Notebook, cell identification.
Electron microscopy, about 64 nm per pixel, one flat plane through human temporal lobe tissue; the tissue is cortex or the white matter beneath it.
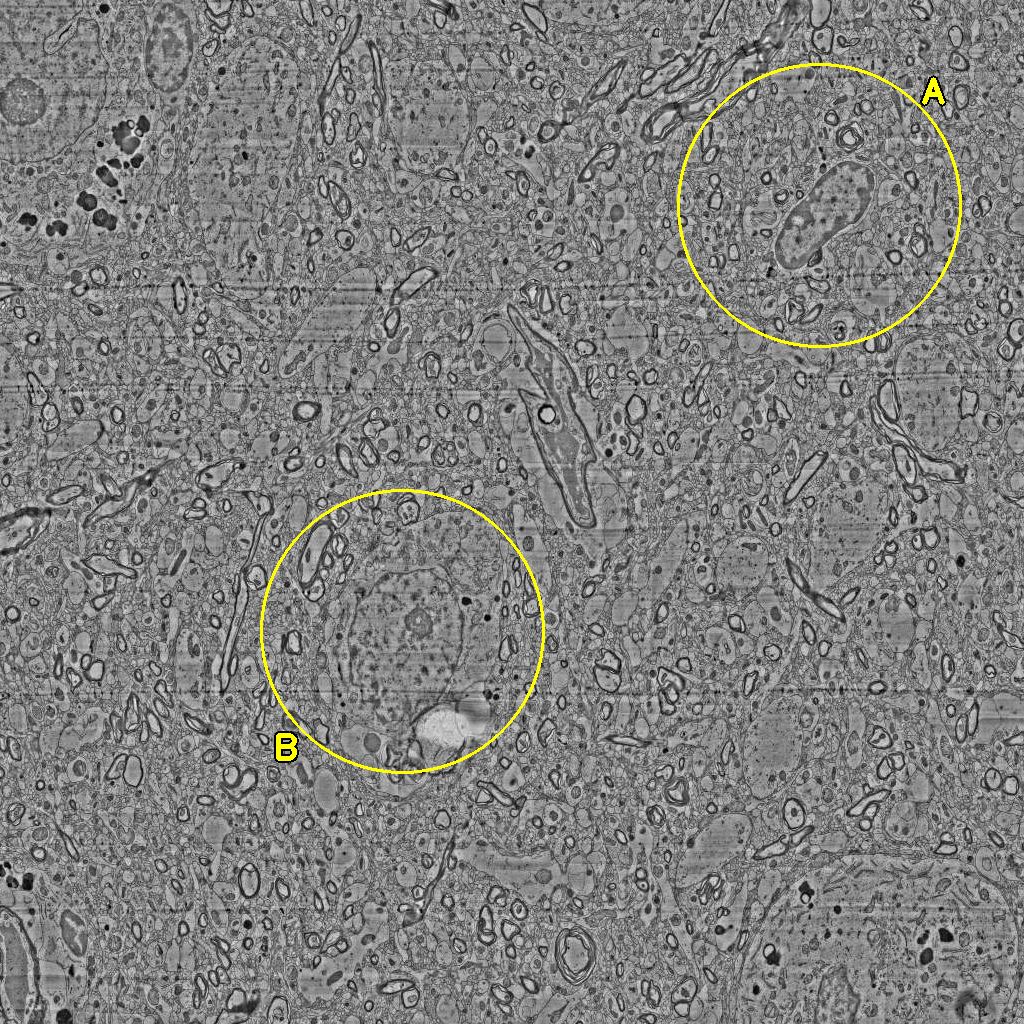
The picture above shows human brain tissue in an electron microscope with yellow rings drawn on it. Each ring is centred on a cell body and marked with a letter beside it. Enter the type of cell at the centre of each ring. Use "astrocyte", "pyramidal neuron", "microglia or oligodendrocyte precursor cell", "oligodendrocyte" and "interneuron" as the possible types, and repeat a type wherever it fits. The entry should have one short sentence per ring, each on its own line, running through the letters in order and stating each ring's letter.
The cell body in ring A belongs to a microglial cell or oligodendrocyte precursor cell.
The cell body in ring B belongs to an interneuron.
